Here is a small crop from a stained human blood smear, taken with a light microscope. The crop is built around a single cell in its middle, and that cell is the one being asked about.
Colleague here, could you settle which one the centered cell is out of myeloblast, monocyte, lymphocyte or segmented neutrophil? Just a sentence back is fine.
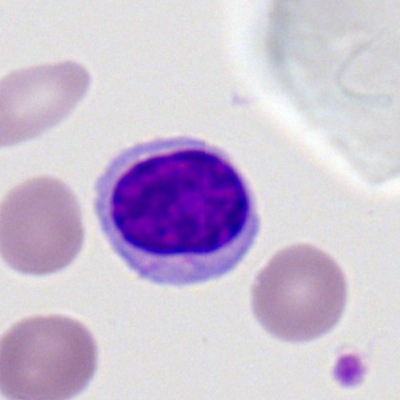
The cell centred in this crop is categorized as a lymphocyte.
